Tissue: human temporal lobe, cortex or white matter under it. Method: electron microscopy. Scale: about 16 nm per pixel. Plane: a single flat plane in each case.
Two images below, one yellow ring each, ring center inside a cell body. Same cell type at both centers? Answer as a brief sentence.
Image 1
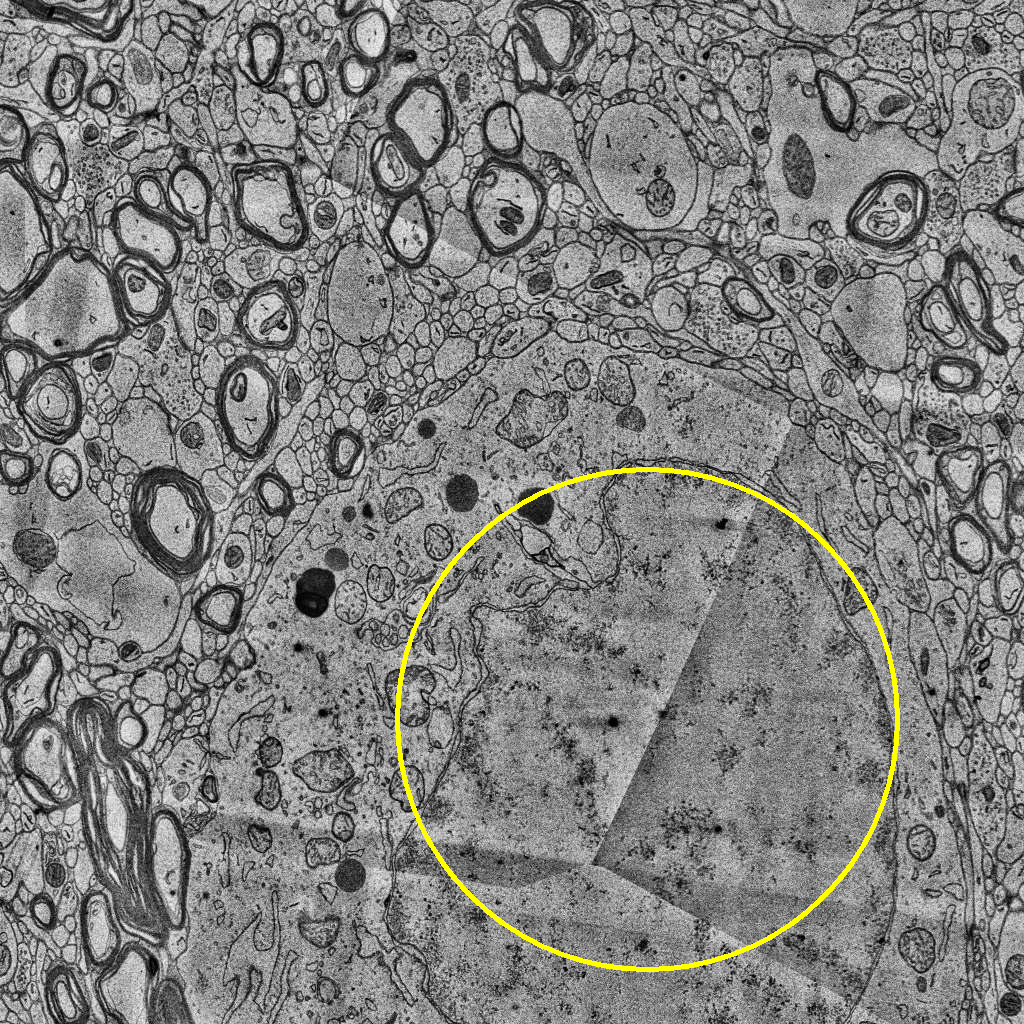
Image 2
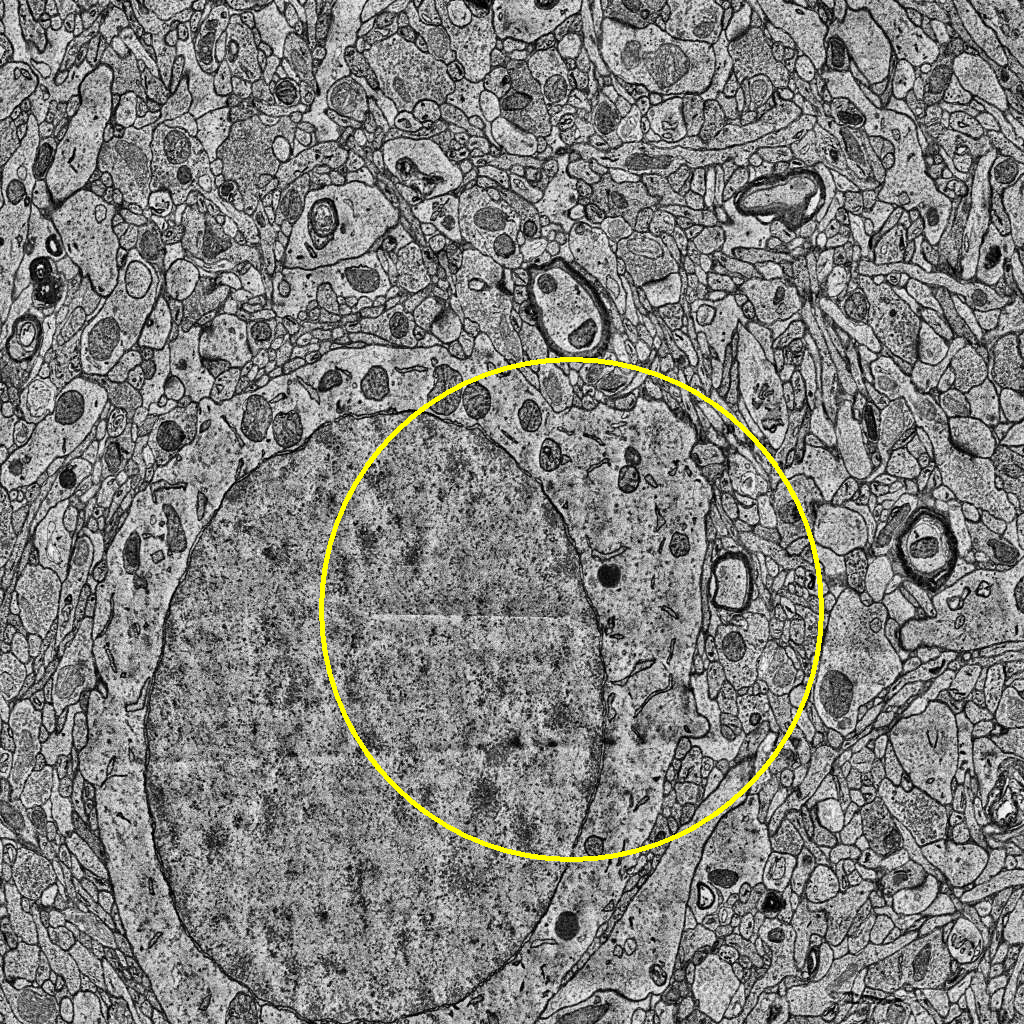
No, the cells are of two separate types.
